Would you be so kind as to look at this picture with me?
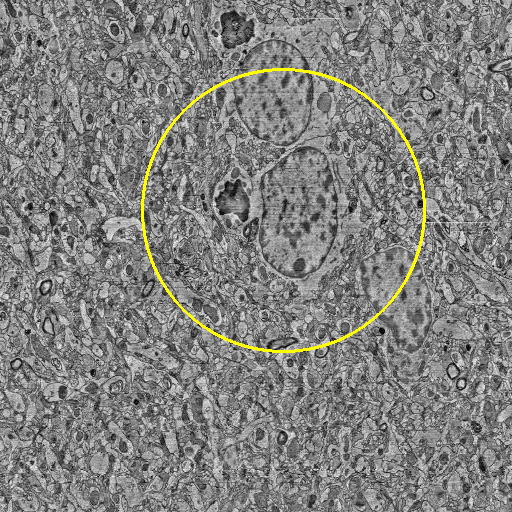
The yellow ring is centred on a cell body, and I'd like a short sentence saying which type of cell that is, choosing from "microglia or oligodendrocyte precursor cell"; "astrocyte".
The cell body in the ring belongs to an astrocyte.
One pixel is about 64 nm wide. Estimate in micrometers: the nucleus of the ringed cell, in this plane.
The ringed cell's nucleus is roughly 8 by 5 micrometres and clearly longer than it is wide in this plane.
